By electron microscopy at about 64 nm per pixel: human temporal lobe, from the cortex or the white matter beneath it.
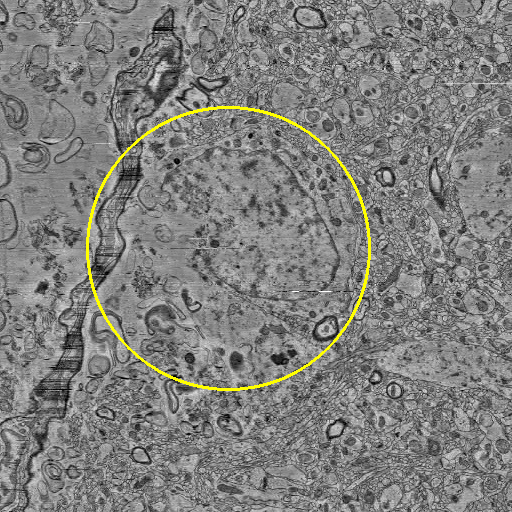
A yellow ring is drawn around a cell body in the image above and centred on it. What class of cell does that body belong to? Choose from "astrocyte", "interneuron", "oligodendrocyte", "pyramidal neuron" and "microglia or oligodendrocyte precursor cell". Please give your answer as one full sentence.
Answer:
The yellow ring above is centred on the cell body of an interneuron.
